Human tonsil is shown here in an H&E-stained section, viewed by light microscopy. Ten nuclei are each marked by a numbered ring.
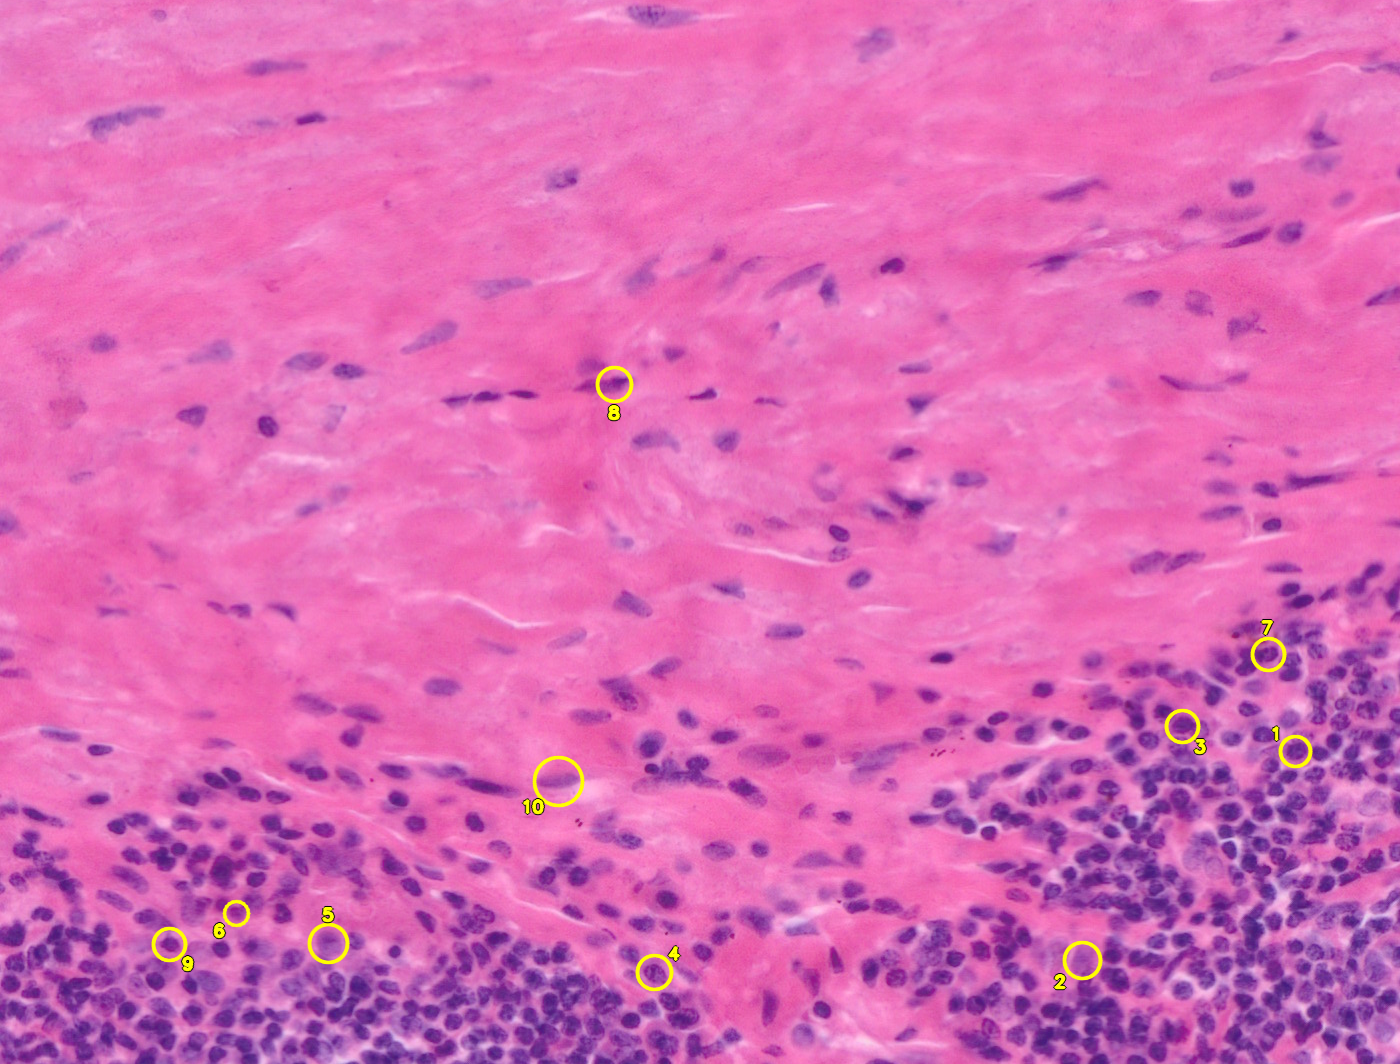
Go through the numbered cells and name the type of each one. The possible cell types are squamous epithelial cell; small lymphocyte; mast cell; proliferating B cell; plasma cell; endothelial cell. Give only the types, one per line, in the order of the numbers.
plasma cell
endothelial cell
plasma cell
plasma cell
endothelial cell
endothelial cell
plasma cell
endothelial cell
endothelial cell
endothelial cell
